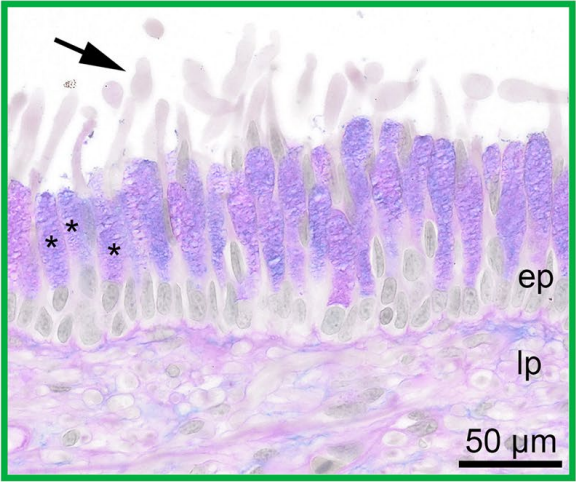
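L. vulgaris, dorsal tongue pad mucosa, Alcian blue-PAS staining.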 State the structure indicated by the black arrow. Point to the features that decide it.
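Long, thin, pale projections rise from the surface of the epithelium. Their tips are rounded and lightly stained.
Conclusion: slender papillae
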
